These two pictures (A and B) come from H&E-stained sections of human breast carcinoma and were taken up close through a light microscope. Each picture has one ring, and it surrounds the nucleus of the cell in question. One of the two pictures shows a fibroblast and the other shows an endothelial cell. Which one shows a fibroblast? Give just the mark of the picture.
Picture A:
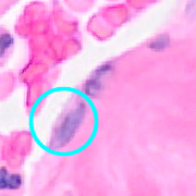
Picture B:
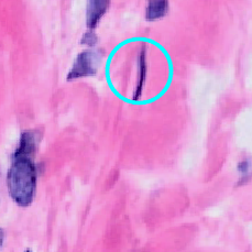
B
